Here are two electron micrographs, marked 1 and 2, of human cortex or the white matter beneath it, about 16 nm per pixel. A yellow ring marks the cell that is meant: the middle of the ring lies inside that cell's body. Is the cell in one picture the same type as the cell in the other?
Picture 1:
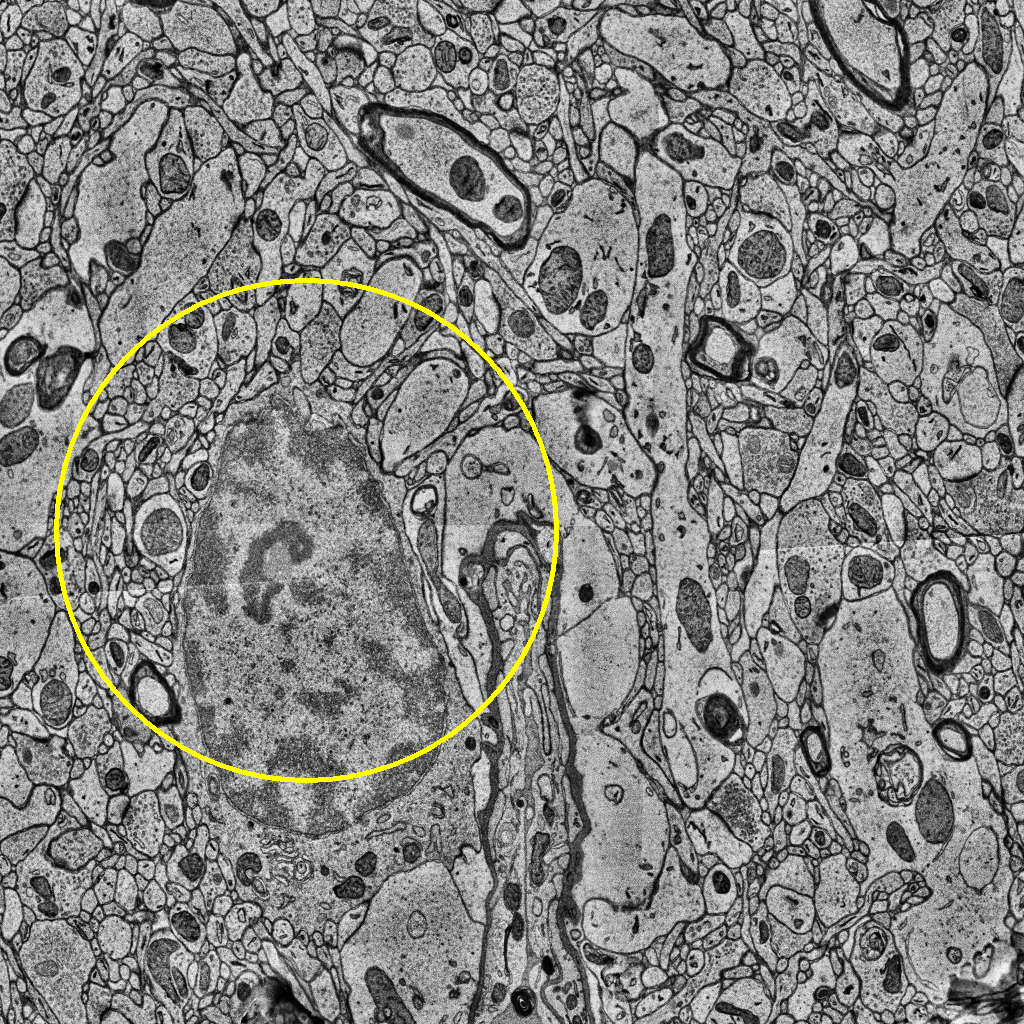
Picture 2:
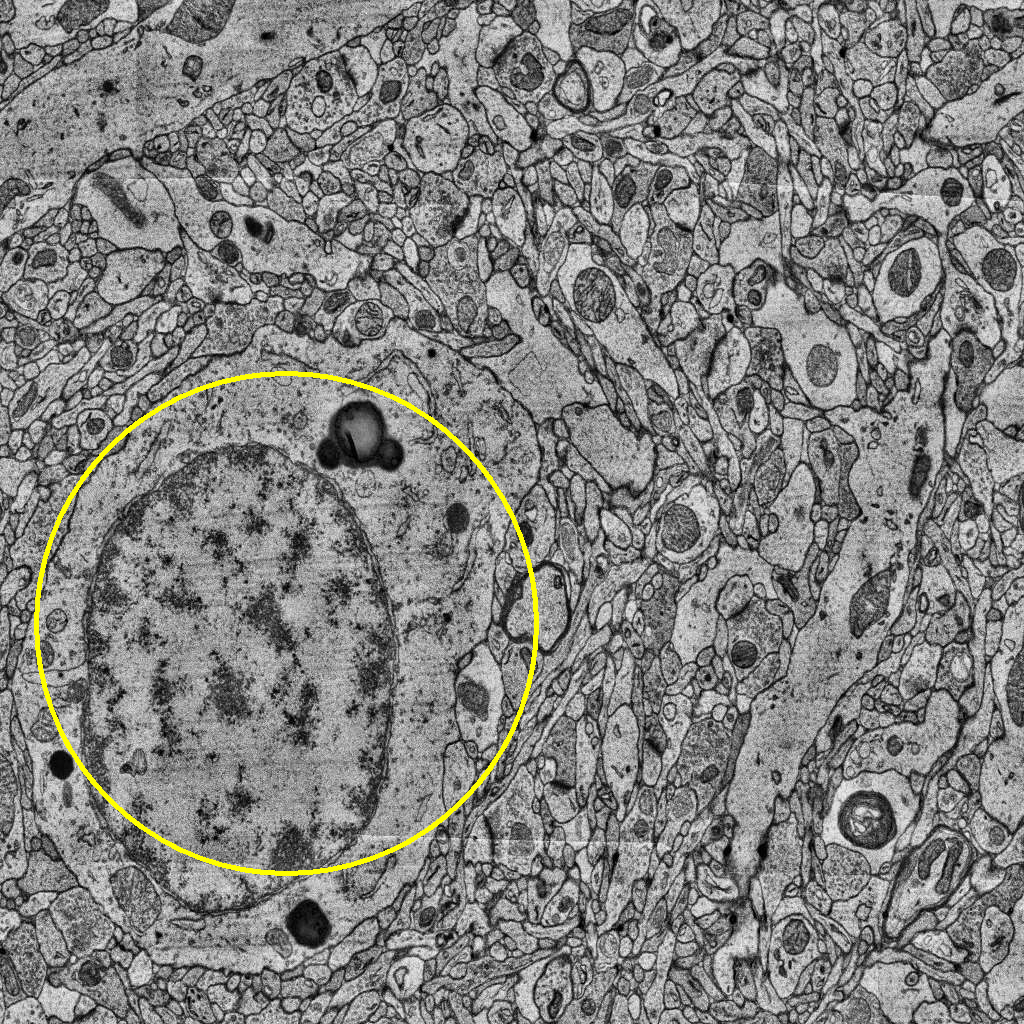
No, the types are not the same, since picture 1 shows an oligodendrocyte and picture 2 a pyramidal neuron.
